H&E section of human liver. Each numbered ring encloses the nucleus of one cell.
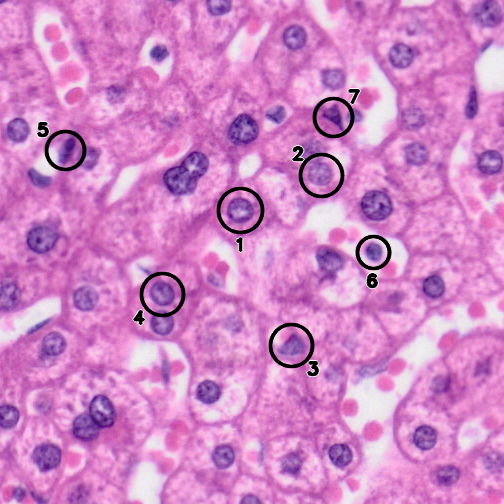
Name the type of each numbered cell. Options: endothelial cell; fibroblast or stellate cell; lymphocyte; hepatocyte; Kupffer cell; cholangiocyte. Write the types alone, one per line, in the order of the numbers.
hepatocyte
hepatocyte
endothelial cell
hepatocyte
fibroblast or stellate cell
lymphocyte
fibroblast or stellate cell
